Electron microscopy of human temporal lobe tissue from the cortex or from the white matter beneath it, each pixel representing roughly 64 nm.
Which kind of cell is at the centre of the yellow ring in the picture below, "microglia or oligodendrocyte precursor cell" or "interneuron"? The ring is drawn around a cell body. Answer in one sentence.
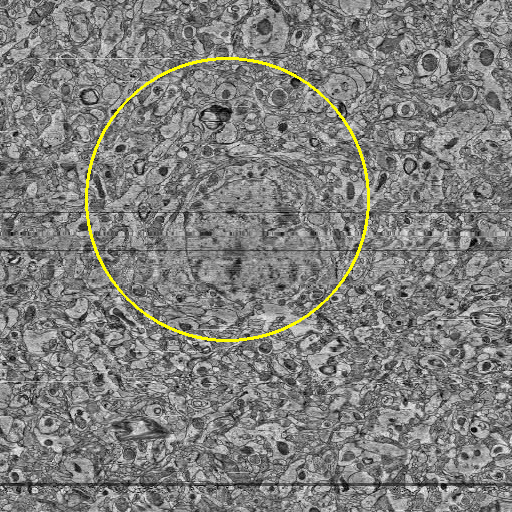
The ring's central cell is an interneuron.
